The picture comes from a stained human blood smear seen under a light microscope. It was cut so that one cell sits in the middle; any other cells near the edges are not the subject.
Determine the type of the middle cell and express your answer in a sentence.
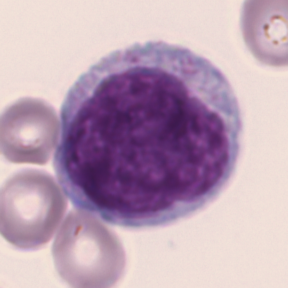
Seen at the centre of the crop is a promyelocyte.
